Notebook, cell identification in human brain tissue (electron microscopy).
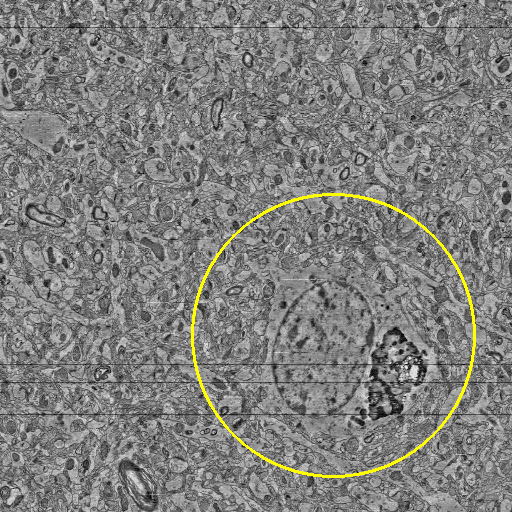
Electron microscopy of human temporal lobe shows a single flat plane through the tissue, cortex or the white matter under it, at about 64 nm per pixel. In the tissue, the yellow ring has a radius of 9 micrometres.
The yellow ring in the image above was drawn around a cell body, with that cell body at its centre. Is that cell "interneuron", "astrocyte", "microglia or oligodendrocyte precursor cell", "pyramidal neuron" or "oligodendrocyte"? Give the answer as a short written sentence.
The cell in the ring is an astrocyte.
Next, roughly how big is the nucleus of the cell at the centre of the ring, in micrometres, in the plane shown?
Roughly 9 by 6 micrometres in this plane, for the nucleus of the ringed cell.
